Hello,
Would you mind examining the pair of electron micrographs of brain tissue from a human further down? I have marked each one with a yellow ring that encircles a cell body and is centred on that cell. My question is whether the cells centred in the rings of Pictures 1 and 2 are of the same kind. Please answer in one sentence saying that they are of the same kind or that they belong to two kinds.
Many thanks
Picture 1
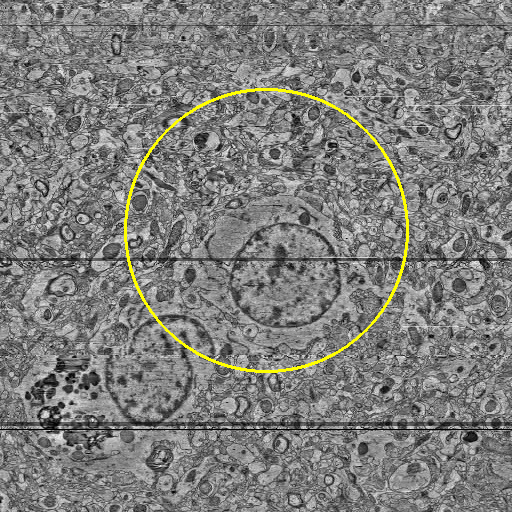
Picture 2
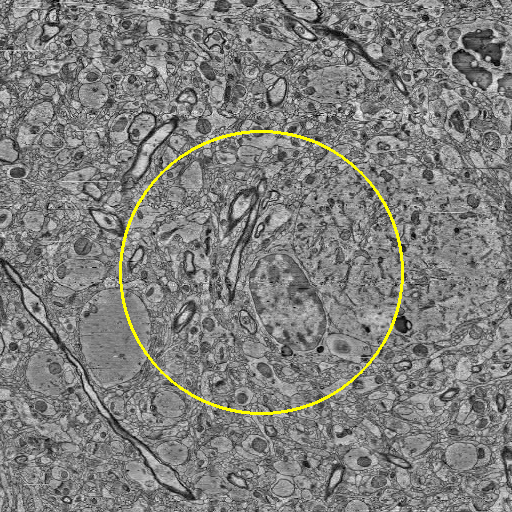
In Pictures 1 and 2, the cells at the heart of the rings belong to two kinds.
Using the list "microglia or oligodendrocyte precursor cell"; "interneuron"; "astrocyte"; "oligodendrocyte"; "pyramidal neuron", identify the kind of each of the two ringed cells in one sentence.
The first is an astrocyte and the second is a microglial cell or oligodendrocyte precursor cell.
